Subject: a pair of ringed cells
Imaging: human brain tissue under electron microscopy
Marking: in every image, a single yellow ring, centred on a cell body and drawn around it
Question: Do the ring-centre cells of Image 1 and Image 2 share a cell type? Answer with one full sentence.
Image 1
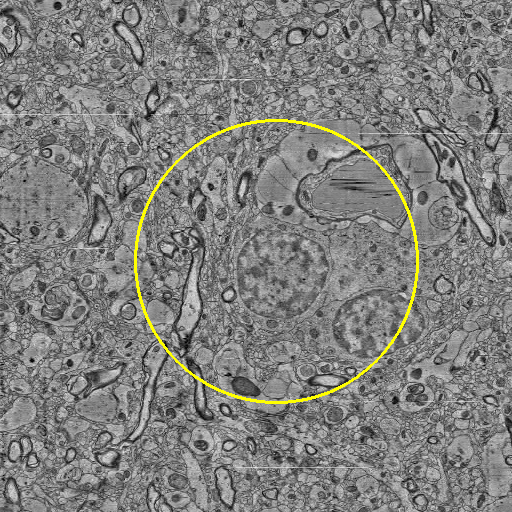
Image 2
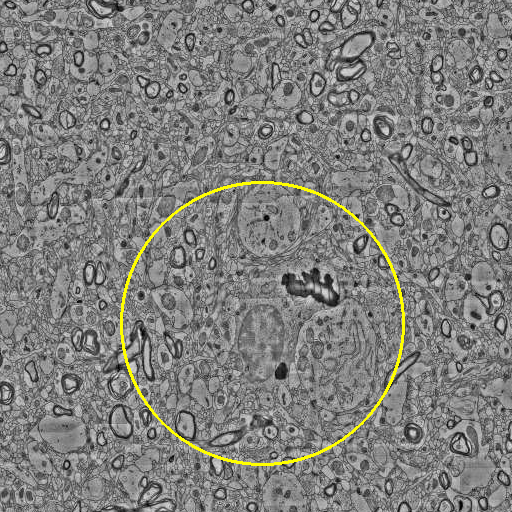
Yes, at each ring's centre in the images sits a cell of one common type.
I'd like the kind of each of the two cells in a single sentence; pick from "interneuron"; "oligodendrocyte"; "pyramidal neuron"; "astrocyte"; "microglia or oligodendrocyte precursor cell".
Each of the two rings is centred on an oligodendrocyte.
